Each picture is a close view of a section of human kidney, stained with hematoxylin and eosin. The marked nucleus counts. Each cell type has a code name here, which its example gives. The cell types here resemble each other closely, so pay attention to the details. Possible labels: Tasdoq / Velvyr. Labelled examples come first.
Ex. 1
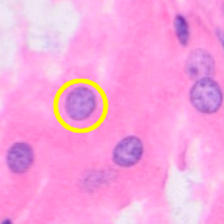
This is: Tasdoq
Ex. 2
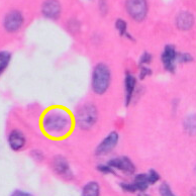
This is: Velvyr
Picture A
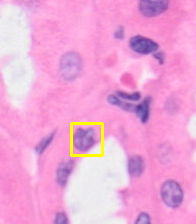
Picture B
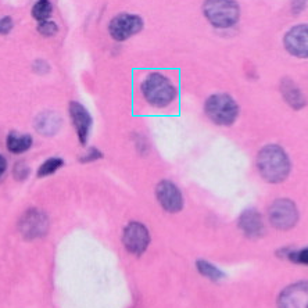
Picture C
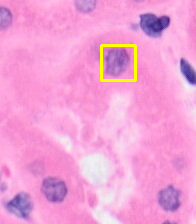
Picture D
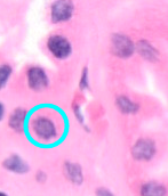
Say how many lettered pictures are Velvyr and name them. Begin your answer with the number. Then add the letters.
3: A, B, D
